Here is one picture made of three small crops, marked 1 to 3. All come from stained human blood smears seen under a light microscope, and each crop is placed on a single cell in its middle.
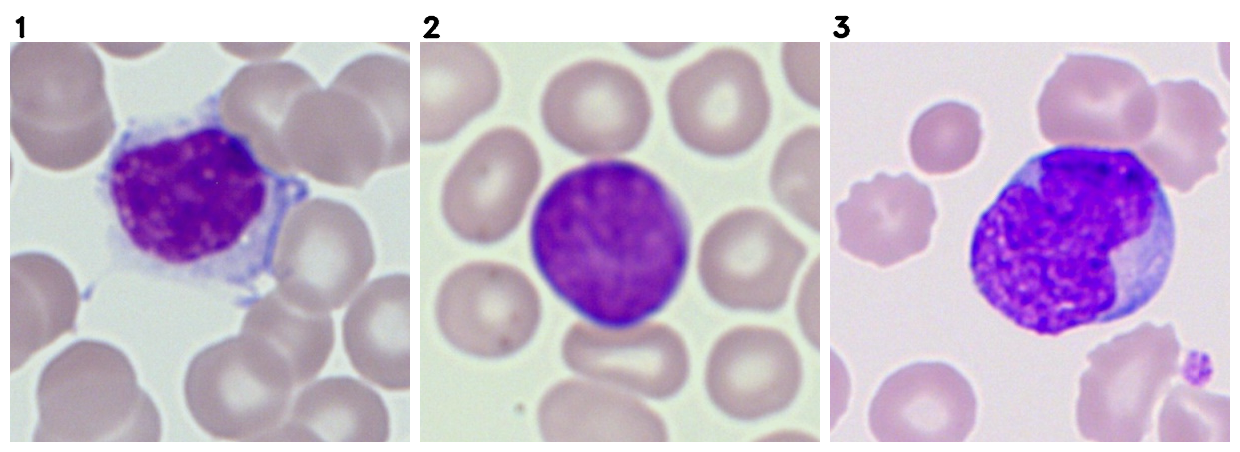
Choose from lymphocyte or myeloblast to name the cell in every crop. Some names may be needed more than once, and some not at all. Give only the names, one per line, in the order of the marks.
lymphocyte
myeloblast
myeloblast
